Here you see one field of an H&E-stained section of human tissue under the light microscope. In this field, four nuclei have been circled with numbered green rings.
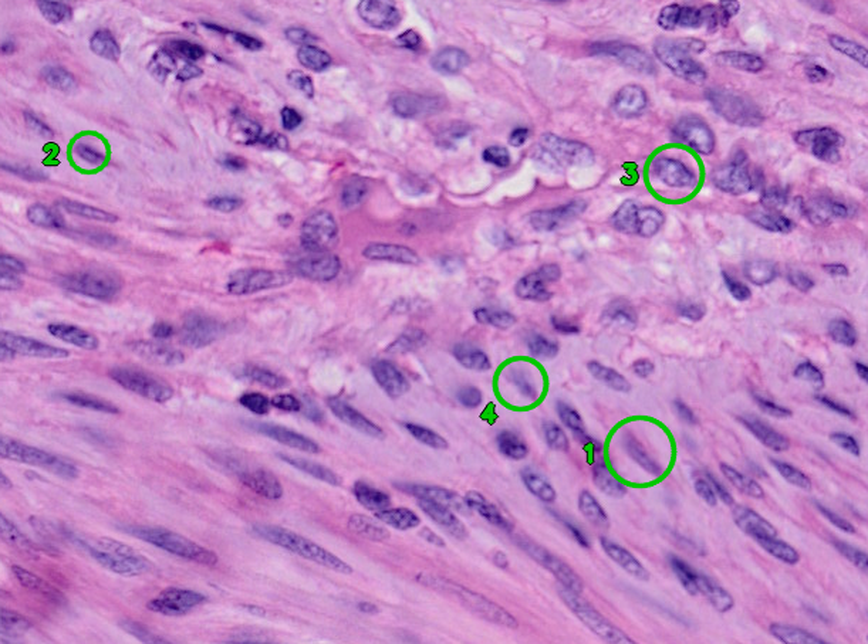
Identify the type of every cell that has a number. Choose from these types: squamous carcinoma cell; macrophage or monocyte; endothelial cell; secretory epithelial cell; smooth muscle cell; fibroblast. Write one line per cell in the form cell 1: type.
cell 1: smooth muscle cell
cell 2: smooth muscle cell
cell 3: endothelial cell
cell 4: fibroblast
